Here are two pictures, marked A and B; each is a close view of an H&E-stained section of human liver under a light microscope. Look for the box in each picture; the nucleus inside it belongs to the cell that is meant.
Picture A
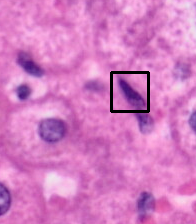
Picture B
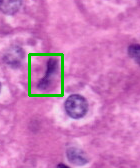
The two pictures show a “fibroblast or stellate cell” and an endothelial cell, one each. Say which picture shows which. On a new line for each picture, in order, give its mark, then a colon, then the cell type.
A: fibroblast or stellate cell
B: endothelial cell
